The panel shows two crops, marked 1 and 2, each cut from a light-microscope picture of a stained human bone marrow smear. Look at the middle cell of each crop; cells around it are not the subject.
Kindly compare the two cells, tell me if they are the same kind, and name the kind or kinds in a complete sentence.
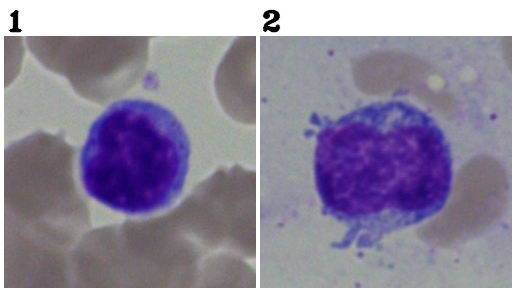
No, that is not right; crop 1 shows a lymphocyte and crop 2 shows a blast.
